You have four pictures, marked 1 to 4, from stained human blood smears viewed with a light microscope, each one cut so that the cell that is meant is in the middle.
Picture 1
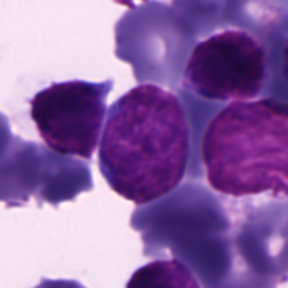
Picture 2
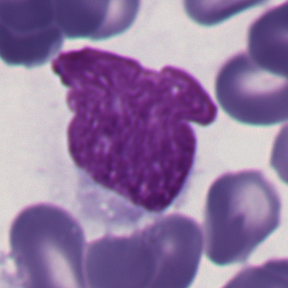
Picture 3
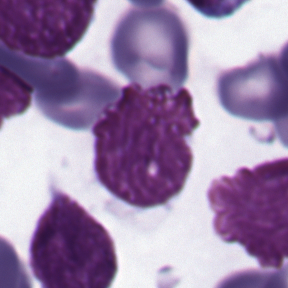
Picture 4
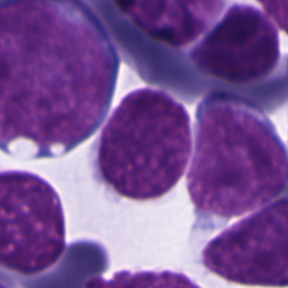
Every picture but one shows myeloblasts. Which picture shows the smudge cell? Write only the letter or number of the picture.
3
